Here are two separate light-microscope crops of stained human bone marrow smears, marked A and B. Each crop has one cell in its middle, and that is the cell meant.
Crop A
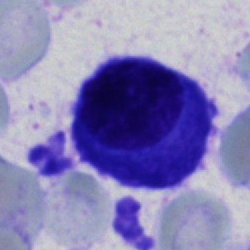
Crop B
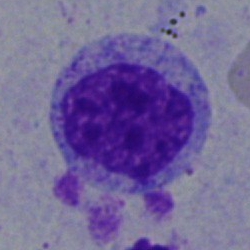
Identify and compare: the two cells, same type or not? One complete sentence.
No, that is not right; crop A shows a plasma cell and crop B shows a myelocyte.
